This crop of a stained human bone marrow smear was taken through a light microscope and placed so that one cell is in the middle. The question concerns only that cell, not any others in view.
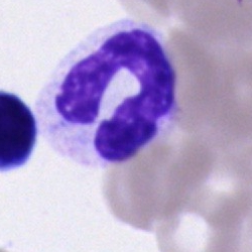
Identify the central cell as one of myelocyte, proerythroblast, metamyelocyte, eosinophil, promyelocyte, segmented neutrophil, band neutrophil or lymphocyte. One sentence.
The centrally placed cell is classified as a band neutrophil.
